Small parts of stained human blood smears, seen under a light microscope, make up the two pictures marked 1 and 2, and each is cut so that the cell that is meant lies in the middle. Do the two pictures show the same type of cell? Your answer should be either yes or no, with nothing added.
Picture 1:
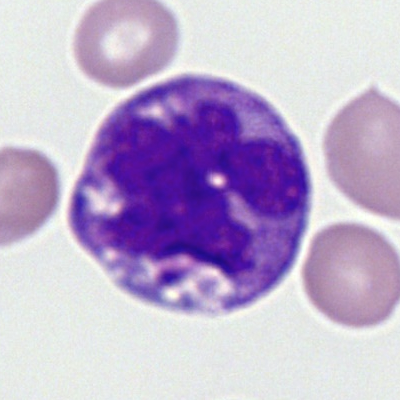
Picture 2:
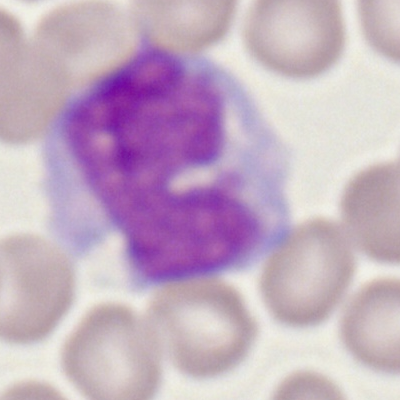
yes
